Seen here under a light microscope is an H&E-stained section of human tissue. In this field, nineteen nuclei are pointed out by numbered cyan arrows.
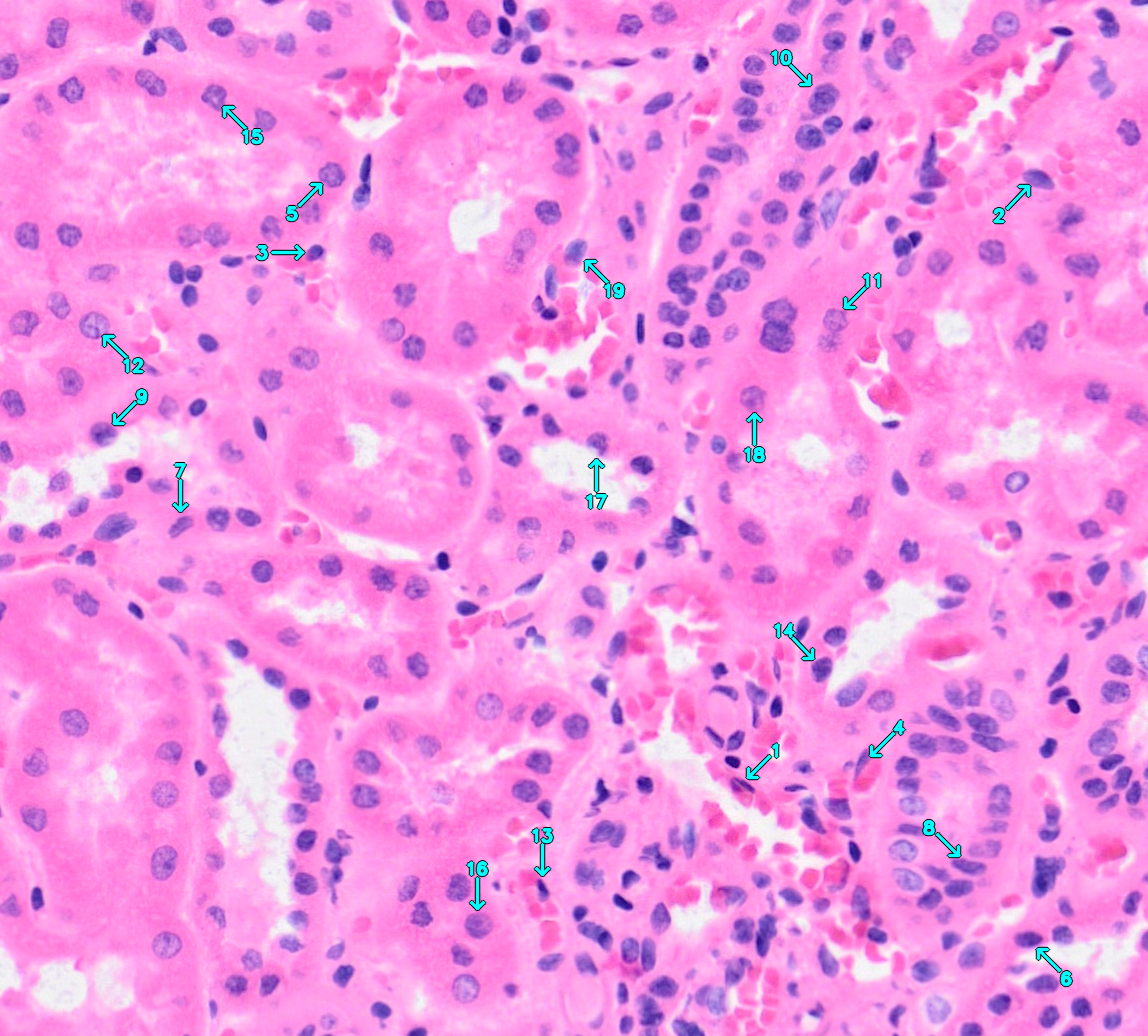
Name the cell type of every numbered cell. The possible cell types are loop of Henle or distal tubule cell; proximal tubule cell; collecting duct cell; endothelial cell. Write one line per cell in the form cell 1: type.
cell 1: endothelial cell
cell 2: endothelial cell
cell 3: endothelial cell
cell 4: endothelial cell
cell 5: proximal tubule cell
cell 6: loop of Henle or distal tubule cell
cell 7: loop of Henle or distal tubule cell
cell 8: collecting duct cell
cell 9: loop of Henle or distal tubule cell
cell 10: collecting duct cell
cell 11: proximal tubule cell
cell 12: proximal tubule cell
cell 13: endothelial cell
cell 14: loop of Henle or distal tubule cell
cell 15: proximal tubule cell
cell 16: proximal tubule cell
cell 17: loop of Henle or distal tubule cell
cell 18: proximal tubule cell
cell 19: endothelial cell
